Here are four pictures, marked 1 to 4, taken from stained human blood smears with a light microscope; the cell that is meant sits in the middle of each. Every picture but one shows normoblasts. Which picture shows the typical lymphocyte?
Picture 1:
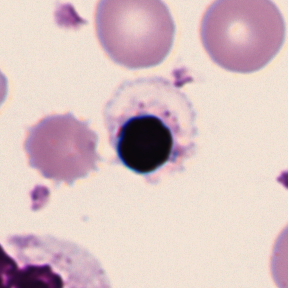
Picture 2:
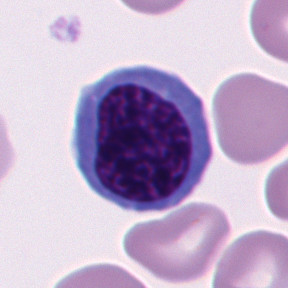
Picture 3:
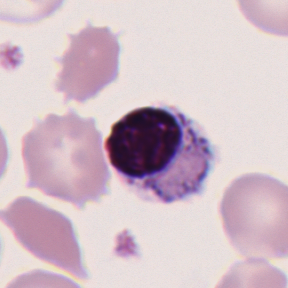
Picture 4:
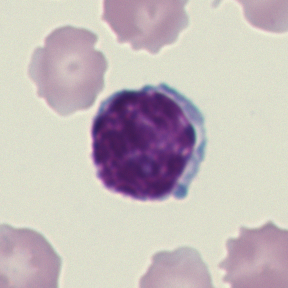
4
